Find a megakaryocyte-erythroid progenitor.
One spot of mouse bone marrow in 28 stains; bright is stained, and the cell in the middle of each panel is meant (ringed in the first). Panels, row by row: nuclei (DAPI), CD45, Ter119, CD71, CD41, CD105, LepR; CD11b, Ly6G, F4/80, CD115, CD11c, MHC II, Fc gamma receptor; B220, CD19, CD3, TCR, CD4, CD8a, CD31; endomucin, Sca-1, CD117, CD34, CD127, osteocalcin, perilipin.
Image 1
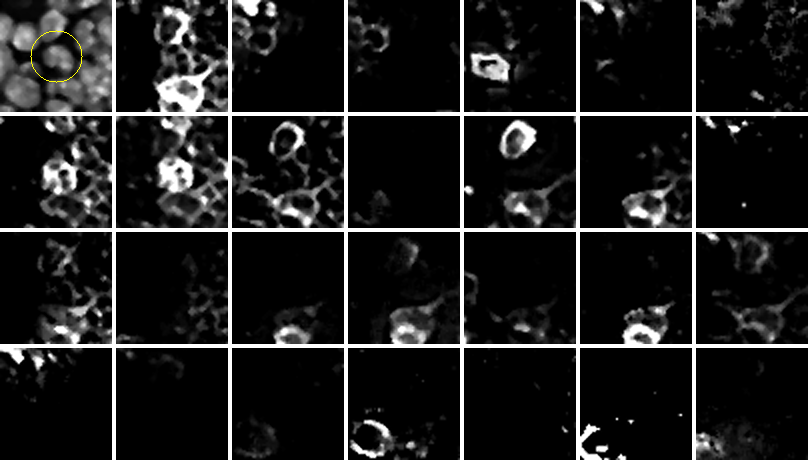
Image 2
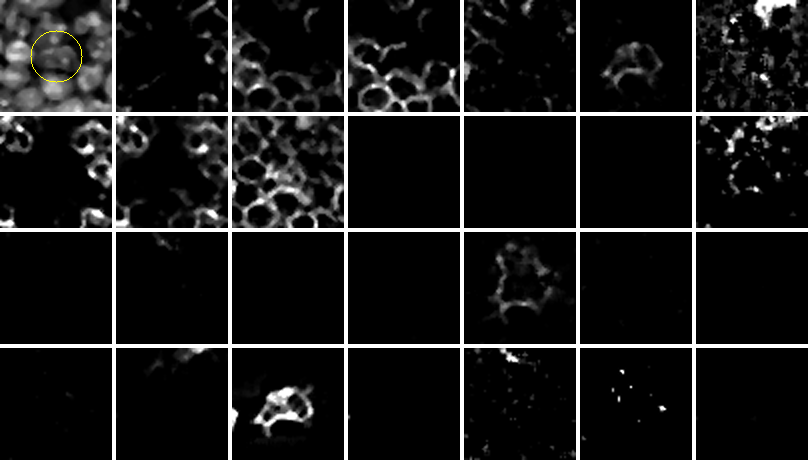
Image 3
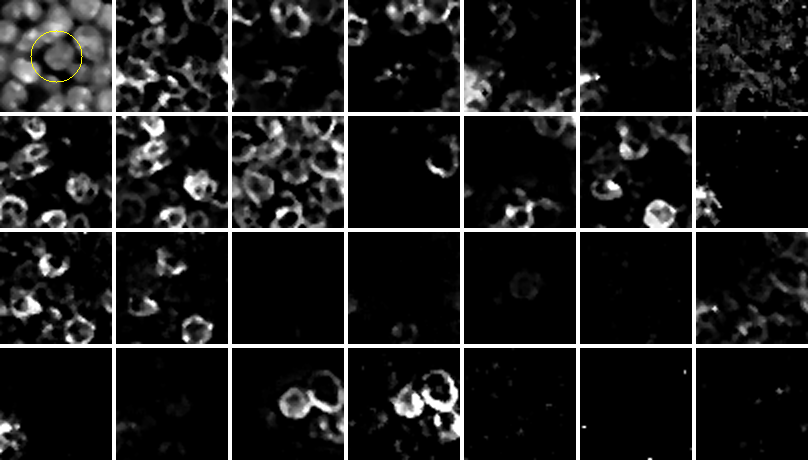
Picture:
2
